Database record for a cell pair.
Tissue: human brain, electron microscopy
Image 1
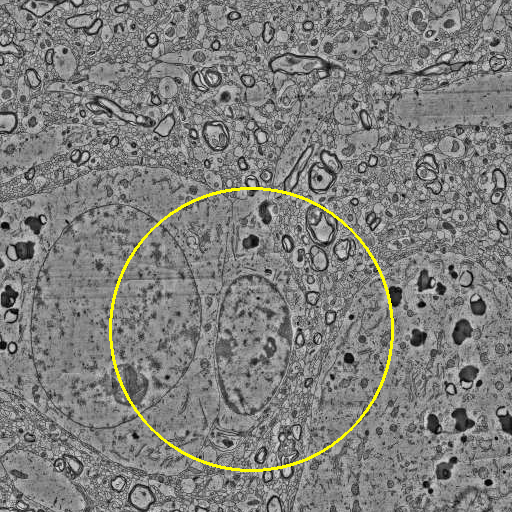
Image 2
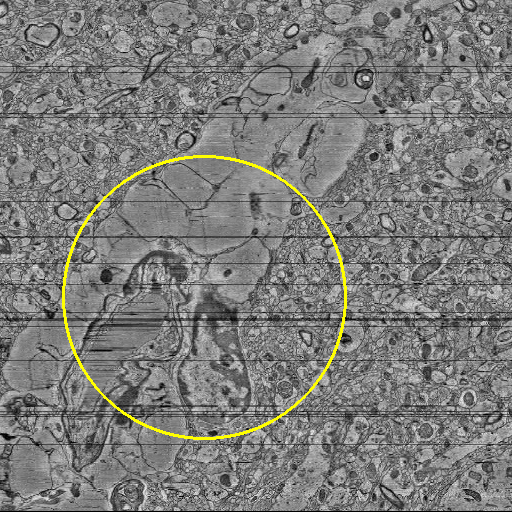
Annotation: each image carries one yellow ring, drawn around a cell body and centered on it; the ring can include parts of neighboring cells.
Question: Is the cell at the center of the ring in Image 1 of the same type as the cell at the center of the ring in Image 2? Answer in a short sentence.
Yes, the cells are of the same type.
